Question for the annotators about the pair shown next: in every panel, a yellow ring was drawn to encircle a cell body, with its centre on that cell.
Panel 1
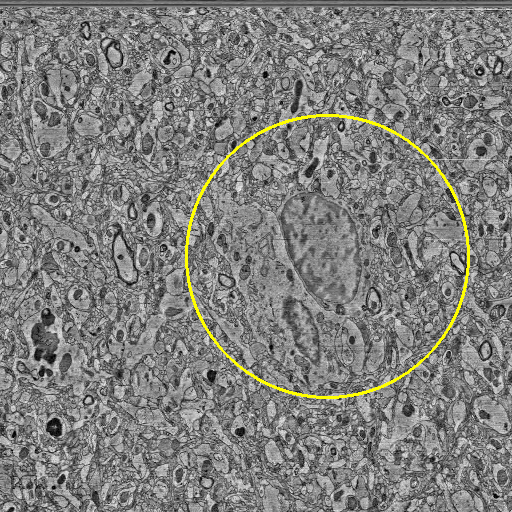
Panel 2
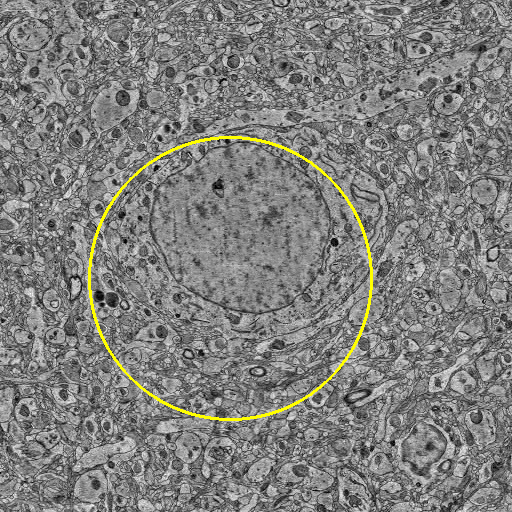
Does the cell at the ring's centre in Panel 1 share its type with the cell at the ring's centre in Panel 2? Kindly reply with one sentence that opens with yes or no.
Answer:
No, in Panels 1 and 2 the cells at the ring centres belong to separate types.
